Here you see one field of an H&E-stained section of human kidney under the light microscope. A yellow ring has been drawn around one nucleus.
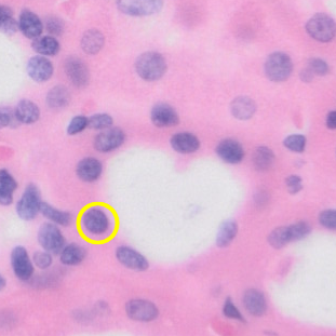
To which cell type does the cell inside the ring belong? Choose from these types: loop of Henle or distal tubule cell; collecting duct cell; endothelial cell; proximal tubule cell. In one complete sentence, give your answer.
Within the stained tissue, the cell inside the ring is a loop of Henle or distal tubule cell.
